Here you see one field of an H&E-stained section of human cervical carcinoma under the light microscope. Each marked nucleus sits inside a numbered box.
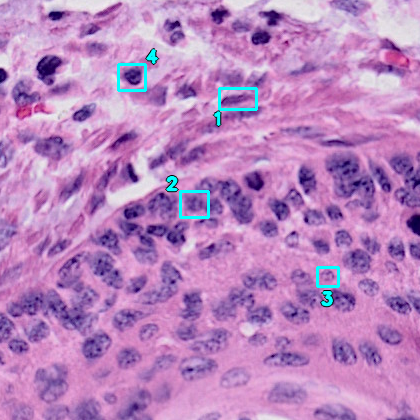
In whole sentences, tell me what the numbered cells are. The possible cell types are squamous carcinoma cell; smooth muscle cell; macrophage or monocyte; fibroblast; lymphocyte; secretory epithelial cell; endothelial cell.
Cell 1 is a fibroblast, cell 2 is a squamous carcinoma cell, cell 3 is a squamous carcinoma cell and cell 4 is a lymphocyte.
